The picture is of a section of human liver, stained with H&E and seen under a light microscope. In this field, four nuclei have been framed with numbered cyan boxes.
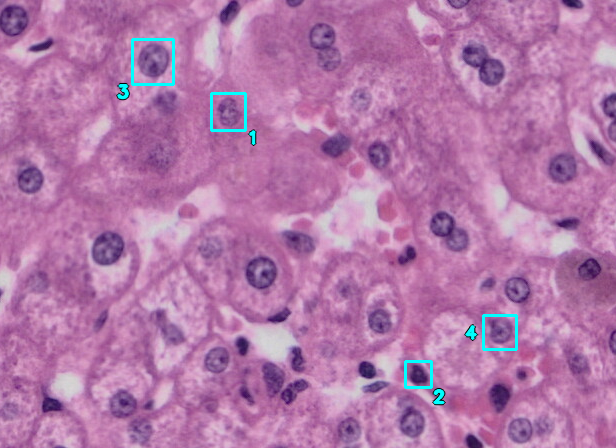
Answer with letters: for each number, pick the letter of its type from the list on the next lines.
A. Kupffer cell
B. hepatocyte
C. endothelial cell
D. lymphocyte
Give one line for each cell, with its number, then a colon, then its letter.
1: B
2: A
3: B
4: B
